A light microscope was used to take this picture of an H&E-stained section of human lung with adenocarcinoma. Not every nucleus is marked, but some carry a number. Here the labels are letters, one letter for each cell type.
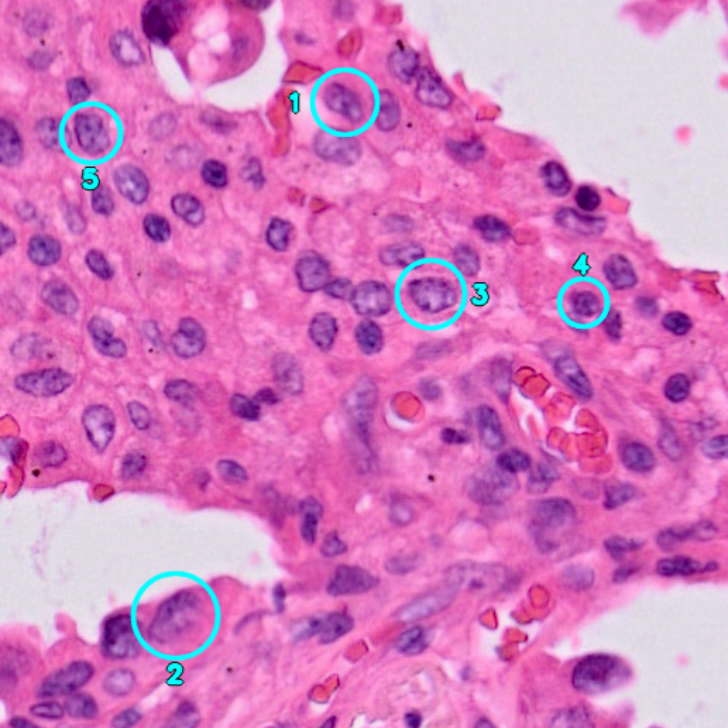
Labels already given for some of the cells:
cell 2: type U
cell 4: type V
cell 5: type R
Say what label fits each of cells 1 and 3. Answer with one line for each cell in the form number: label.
1: type R
3: type R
